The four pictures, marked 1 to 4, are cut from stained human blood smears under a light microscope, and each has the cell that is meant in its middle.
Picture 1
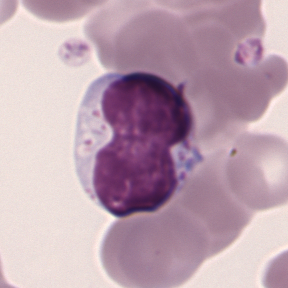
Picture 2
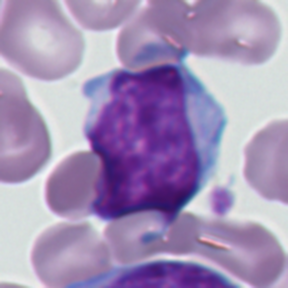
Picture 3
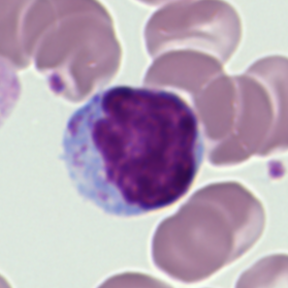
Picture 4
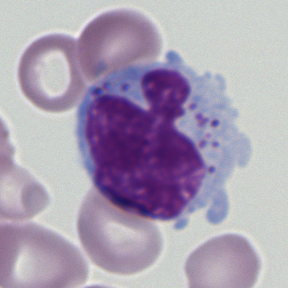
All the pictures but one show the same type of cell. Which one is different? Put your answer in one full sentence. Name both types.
The others show large granular lymphocytes, but picture 2 shows a myeloblast.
